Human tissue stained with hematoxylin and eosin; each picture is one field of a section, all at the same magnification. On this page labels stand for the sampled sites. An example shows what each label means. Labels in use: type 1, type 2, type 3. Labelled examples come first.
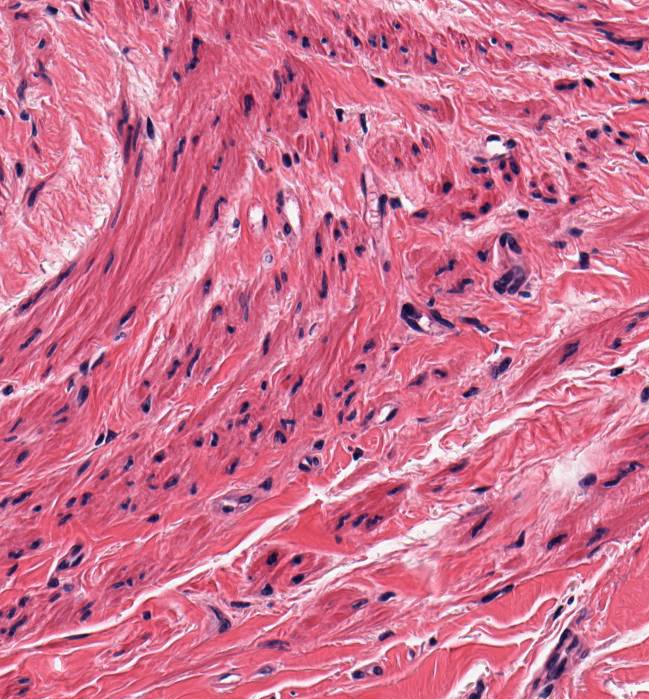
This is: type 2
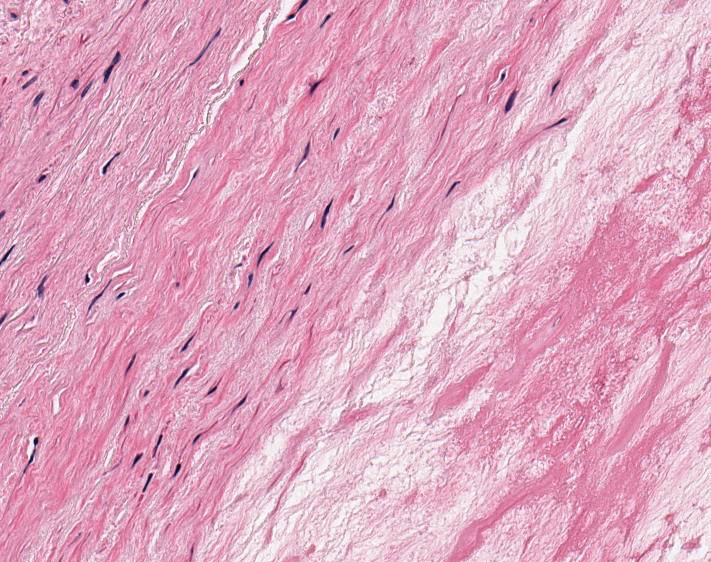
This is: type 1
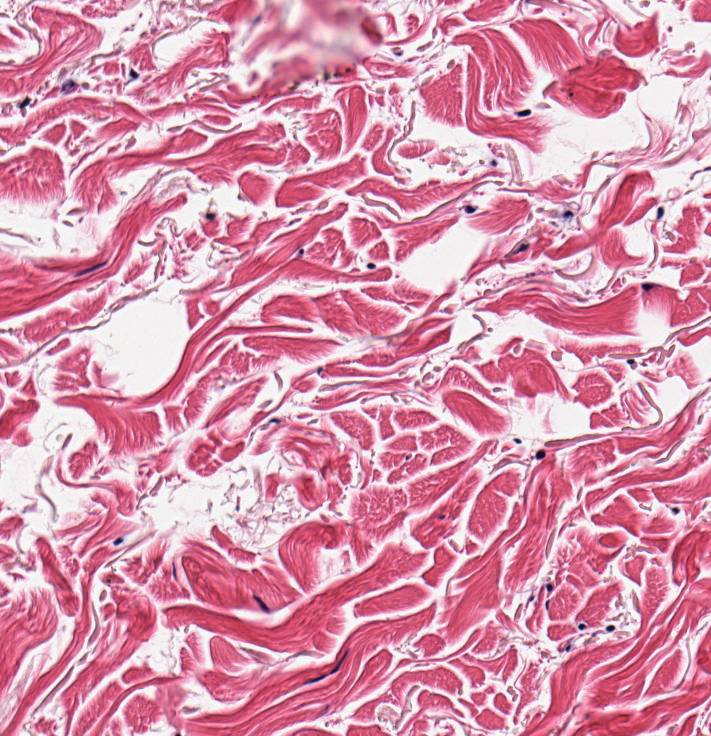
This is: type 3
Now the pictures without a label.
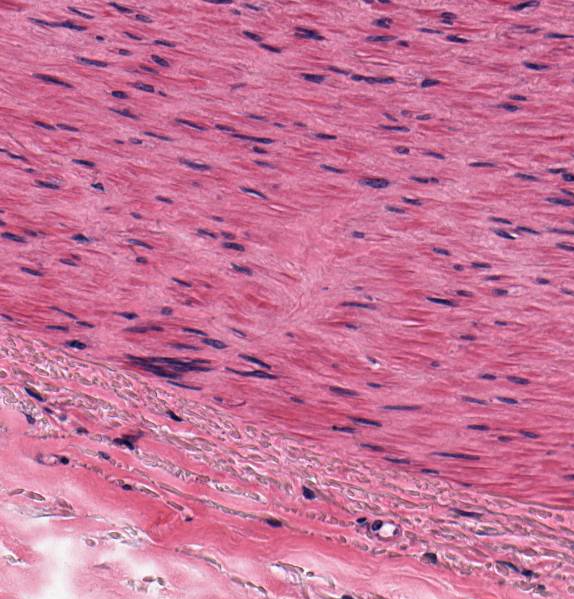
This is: type 2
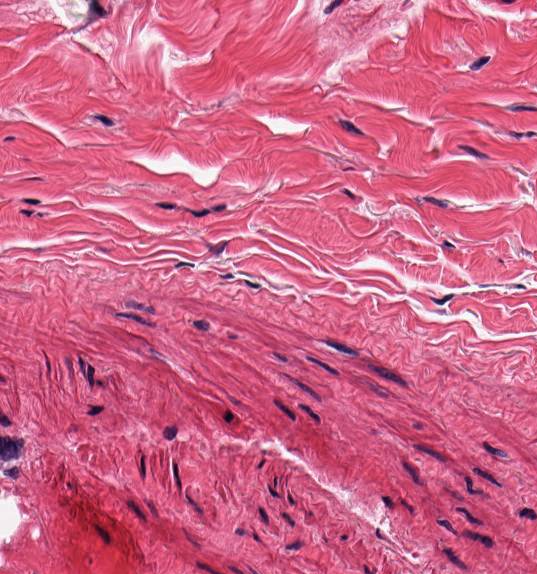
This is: type 2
